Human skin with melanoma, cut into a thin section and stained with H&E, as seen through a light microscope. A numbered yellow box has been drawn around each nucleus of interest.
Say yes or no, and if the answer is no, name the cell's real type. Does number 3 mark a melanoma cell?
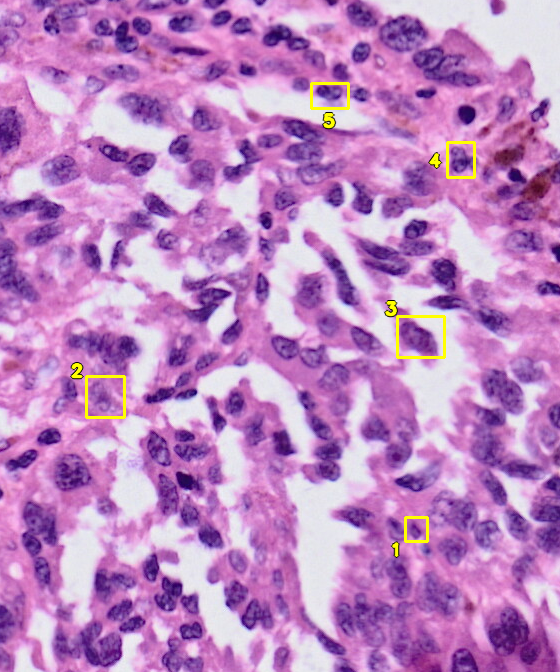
Yes.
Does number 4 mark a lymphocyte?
Yes.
